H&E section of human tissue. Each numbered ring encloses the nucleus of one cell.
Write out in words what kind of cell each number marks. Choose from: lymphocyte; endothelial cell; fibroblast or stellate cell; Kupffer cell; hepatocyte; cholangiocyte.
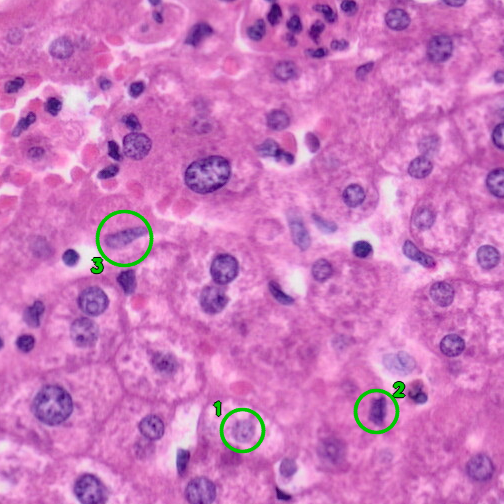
Cell 1 is a hepatocyte, cell 2 is a fibroblast or stellate cell and cell 3 is a Kupffer cell.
